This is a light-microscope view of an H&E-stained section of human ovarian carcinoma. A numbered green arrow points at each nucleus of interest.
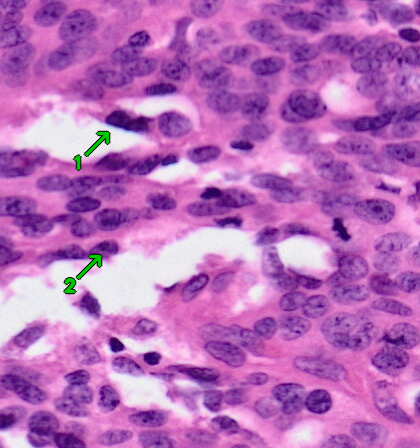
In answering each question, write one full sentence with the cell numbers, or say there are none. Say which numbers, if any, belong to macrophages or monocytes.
Only one marked cell, number 2, is a macrophage or monocyte.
